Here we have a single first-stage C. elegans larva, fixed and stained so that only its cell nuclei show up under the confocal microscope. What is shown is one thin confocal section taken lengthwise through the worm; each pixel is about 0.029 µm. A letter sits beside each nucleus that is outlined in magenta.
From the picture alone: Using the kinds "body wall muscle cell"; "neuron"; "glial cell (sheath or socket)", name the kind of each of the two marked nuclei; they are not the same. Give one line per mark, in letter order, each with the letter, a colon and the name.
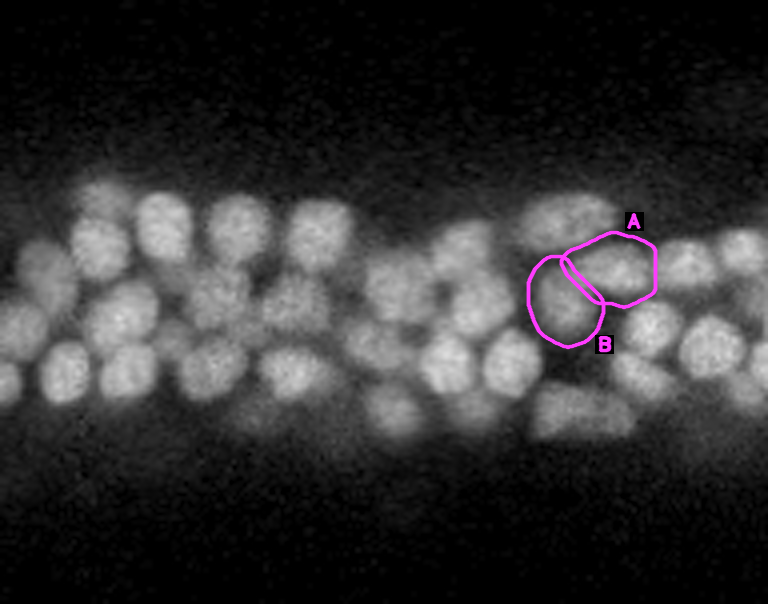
A: glial cell (sheath or socket)
B: neuron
